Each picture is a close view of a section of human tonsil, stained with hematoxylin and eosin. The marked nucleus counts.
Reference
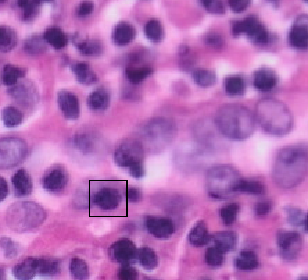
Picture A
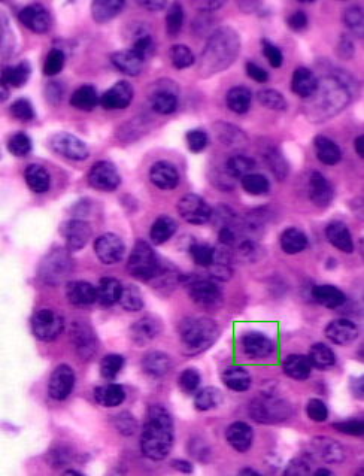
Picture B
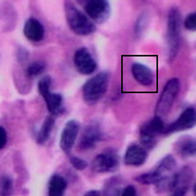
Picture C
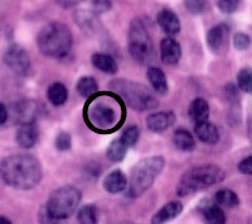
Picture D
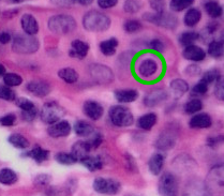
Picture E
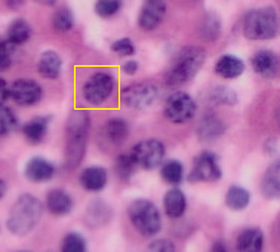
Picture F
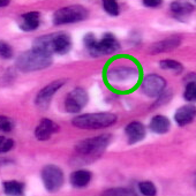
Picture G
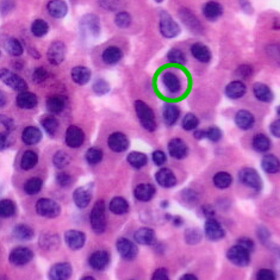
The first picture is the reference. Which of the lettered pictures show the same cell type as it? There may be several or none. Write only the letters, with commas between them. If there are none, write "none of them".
B, D, F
